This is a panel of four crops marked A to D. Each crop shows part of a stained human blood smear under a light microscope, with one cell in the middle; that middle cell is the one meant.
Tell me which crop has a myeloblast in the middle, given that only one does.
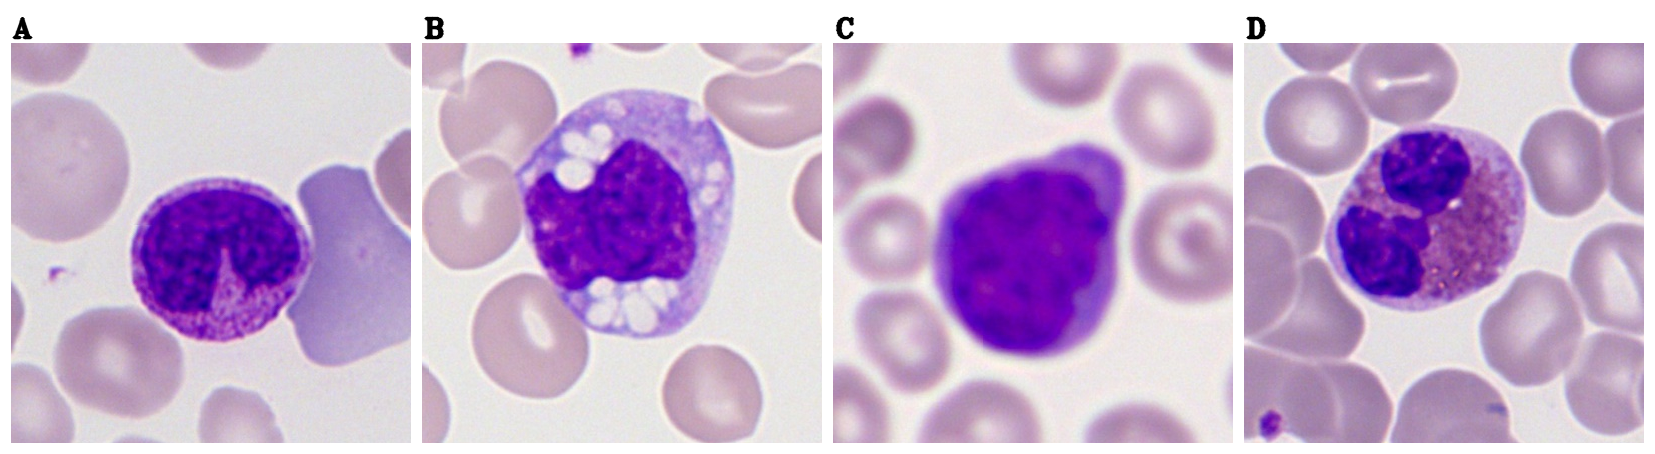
C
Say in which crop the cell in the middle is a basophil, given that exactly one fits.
A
